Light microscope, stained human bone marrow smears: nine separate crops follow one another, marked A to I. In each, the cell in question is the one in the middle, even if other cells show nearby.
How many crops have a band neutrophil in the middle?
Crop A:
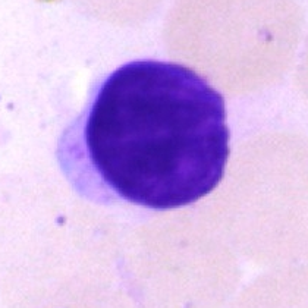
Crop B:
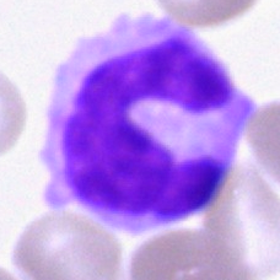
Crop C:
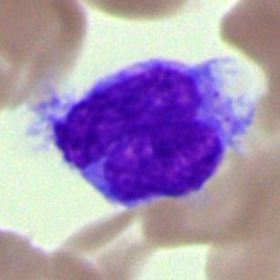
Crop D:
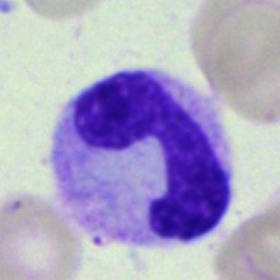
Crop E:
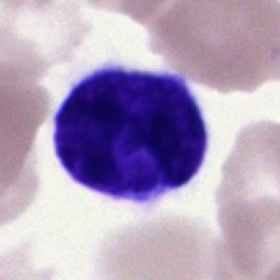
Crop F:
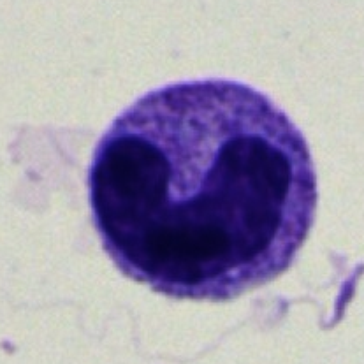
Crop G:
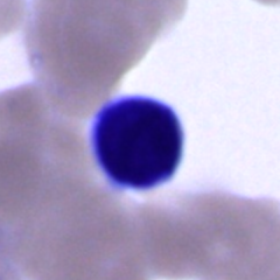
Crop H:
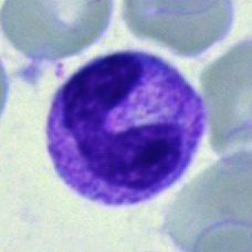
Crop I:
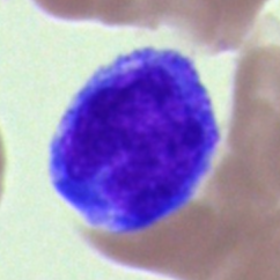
3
